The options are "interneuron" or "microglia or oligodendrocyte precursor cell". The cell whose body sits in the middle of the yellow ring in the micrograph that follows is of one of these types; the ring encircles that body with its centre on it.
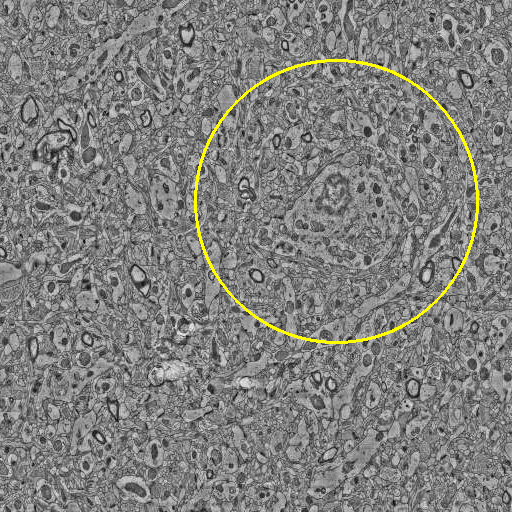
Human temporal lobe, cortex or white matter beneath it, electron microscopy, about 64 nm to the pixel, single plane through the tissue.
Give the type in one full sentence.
Going by the micrograph, the cell centred in the yellow ring is an interneuron.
